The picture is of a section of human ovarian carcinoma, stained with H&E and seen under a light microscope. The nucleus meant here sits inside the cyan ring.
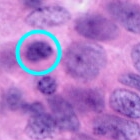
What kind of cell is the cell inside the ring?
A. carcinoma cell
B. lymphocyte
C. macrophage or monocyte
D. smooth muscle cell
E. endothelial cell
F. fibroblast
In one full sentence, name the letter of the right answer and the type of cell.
Option B stands as correct, with the cell inside the ring being a lymphocyte.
